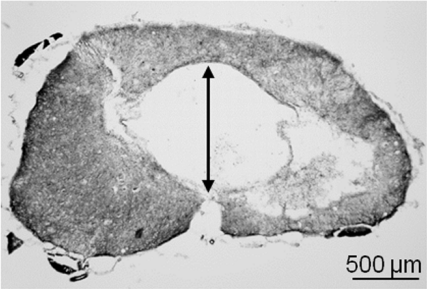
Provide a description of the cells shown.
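This transverse section of injured spinal cord is dominated by a large central cyst. The cavity is empty and unstained, with ragged walls and some loose fragments of tissue along its lower border. The normal outline of grey and white matter is no longer recognisable in the middle of the section.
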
